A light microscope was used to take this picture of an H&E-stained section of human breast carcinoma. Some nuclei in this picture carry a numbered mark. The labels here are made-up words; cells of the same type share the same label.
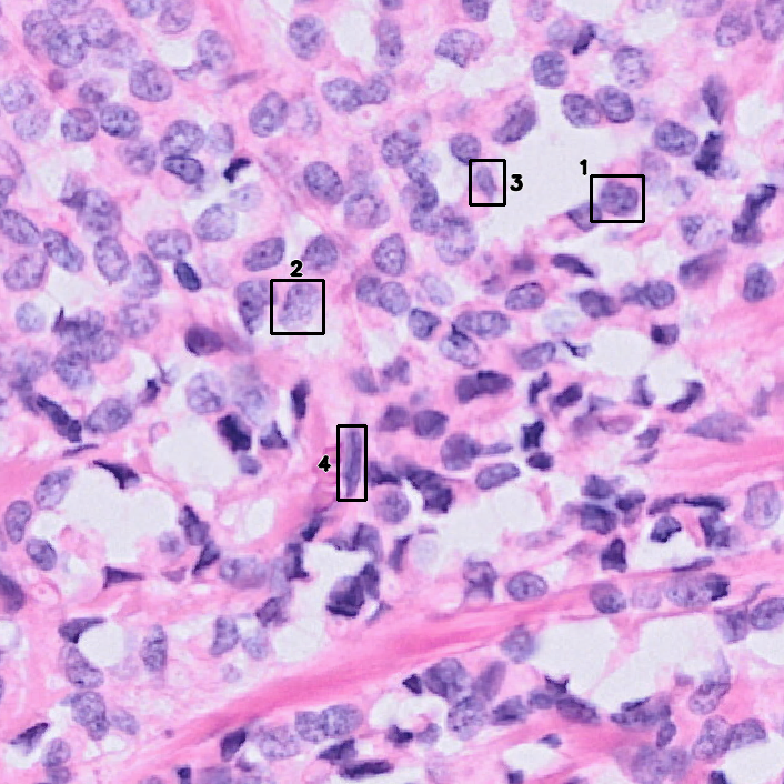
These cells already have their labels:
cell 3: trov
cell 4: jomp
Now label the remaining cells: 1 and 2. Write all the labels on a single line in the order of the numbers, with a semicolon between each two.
trov; trov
